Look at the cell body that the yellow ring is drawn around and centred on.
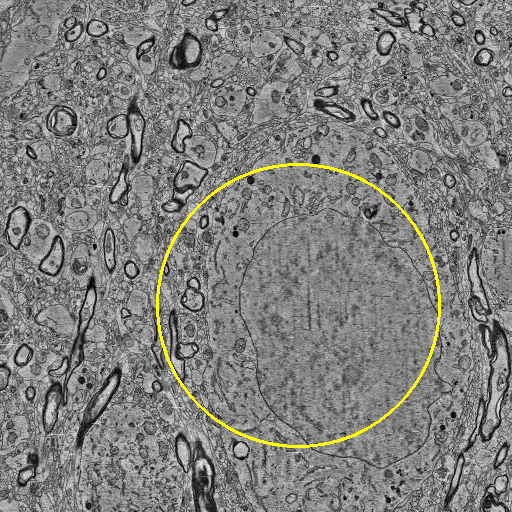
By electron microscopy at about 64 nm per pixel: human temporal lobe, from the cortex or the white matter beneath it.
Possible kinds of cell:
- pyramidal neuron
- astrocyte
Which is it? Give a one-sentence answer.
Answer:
The centred cell body is that of a pyramidal neuron.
